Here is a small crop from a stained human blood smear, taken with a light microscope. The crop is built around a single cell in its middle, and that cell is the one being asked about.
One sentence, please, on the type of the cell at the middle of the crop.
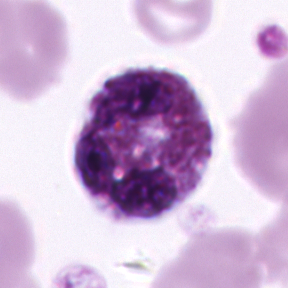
The crop shows an eosinophil in its centre.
